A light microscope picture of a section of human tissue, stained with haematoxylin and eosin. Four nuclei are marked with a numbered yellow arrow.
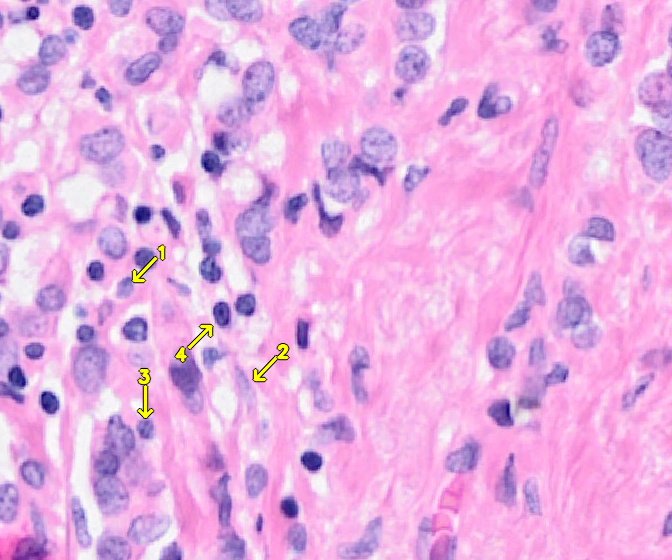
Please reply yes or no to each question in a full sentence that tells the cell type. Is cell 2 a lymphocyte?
No, cell 2 is not a lymphocyte, but is instead a fibroblast.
